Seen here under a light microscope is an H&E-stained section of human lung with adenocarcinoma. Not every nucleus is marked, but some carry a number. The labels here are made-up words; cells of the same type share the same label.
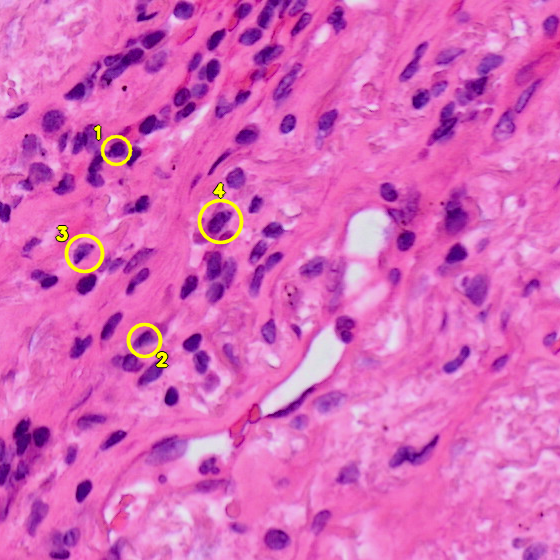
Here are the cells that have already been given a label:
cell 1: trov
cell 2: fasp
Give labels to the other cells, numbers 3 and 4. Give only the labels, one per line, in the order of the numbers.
trov
fasp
